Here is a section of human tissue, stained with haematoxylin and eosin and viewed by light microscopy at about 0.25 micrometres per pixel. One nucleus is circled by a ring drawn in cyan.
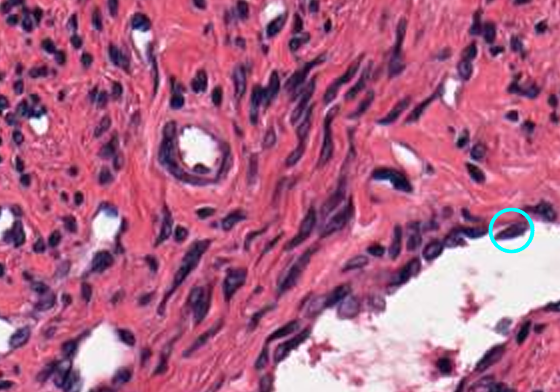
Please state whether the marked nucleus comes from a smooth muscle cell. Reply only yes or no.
no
